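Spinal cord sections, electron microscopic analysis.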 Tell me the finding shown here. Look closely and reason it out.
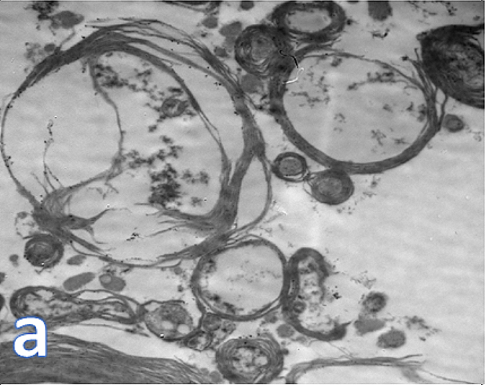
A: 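Large round profiles are bounded by thin, loosened and split myelin lamellae. The interiors of these large profiles are mostly empty, holding only scattered flocculent debris. Few intact compact dark rings are present. On this evidence: axonal degeneration.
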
